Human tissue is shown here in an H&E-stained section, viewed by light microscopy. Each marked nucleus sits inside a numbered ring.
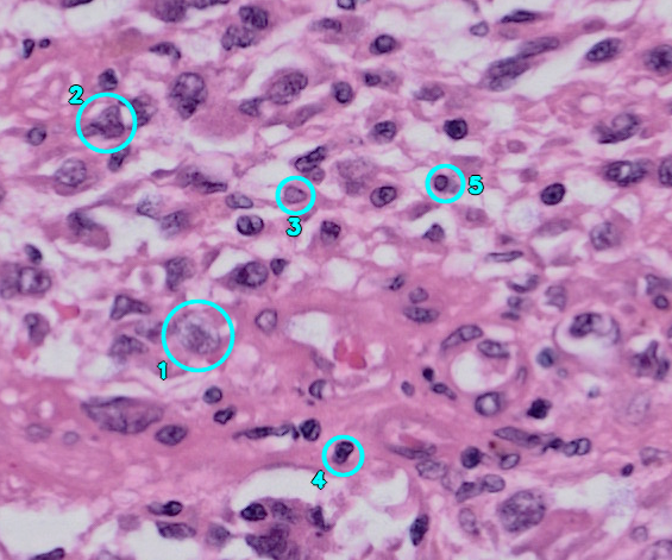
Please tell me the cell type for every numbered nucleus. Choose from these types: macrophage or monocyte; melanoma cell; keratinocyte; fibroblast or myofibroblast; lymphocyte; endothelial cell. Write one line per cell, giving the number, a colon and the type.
1: melanoma cell
2: melanoma cell
3: macrophage or monocyte
4: lymphocyte
5: macrophage or monocyte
